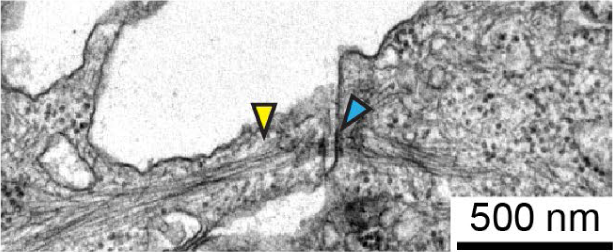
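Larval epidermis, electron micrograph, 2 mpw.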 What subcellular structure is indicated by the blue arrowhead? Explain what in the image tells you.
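Desmosomal plaques. The blue arrowhead points to a short, dark, electron-dense band at the membrane where two cells meet. Filament bundles run toward the dense band.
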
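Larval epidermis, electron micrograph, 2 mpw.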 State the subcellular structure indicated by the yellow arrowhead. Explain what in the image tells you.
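The yellow arrowhead points to long, thin, parallel fibrous bundles in the cytoplasm. The bundles run along the cell edge toward the junction. The answer: intermediate filaments.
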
